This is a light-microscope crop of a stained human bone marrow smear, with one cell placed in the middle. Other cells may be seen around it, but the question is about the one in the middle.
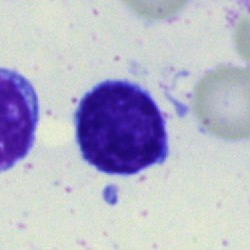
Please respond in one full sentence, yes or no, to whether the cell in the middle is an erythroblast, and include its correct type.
No, the central cell is classed as a lymphocyte, not an erythroblast.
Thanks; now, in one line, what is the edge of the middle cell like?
The edge of the cell is unbroken and smooth, bearing no projections.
